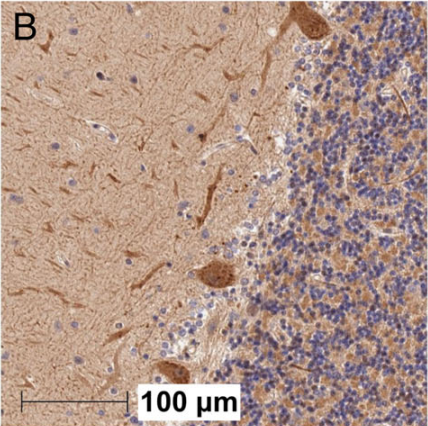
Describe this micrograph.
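Cerebellar cortex with brown-stained Purkinje cells lying at the edge of a dense layer of small round blue nuclei. Their rounded cell bodies are stained brown, and brown dendrites extend into the fibrous layer on the left, which has a fine brown background and scattered small nuclei. The dense layer on the right shows many tightly packed small blue nuclei with brown-tinged spaces between them.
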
